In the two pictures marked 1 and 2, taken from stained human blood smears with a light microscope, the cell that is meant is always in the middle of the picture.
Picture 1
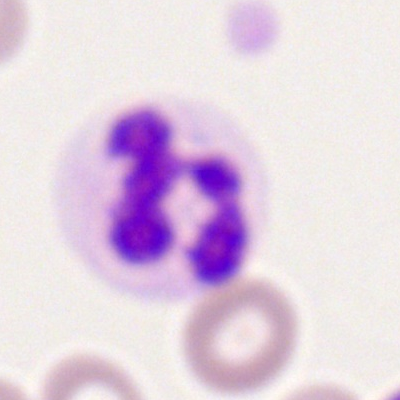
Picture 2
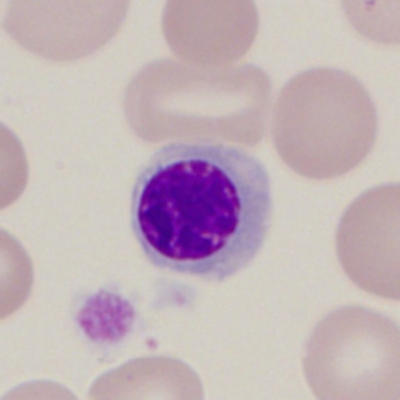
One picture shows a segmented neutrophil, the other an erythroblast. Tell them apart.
1: segmented neutrophil
2: erythroblast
